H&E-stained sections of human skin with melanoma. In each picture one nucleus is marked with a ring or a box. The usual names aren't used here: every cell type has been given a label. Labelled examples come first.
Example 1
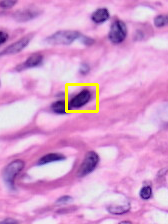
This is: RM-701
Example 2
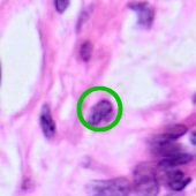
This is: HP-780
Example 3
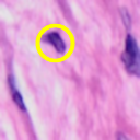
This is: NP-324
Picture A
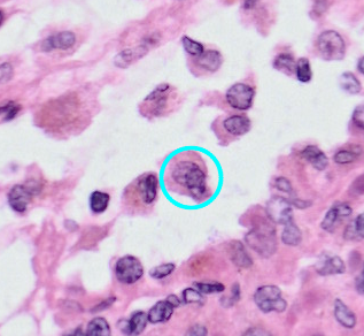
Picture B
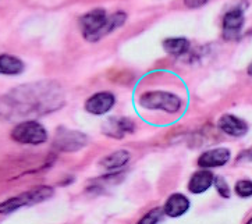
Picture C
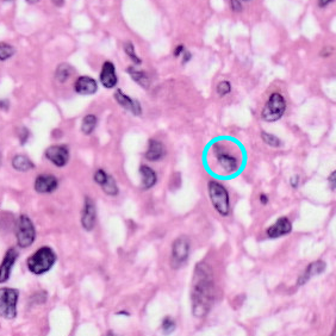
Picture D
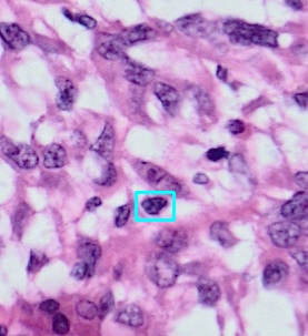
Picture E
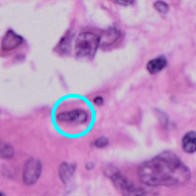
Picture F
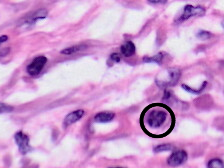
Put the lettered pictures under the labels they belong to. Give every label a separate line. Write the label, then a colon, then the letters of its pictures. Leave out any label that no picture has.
RM-701: F
HP-780: A, C, E
NP-324: B, D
